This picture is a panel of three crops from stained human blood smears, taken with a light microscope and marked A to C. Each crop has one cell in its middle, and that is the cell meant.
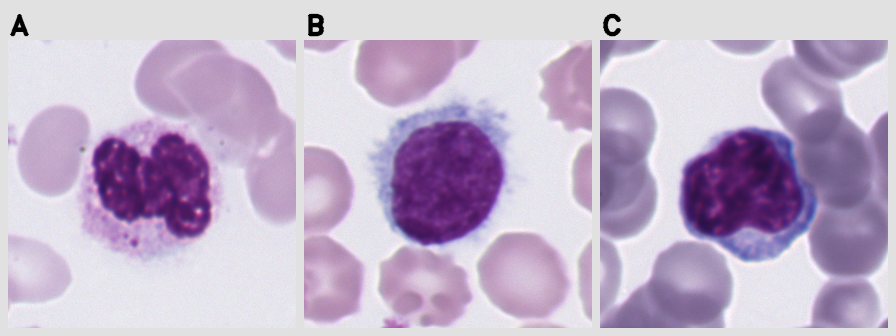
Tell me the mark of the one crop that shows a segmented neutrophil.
A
